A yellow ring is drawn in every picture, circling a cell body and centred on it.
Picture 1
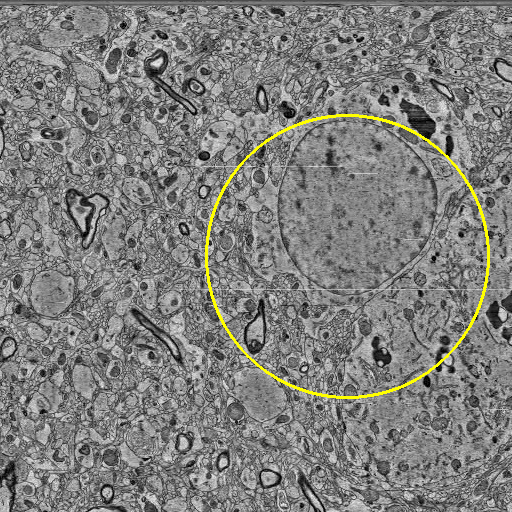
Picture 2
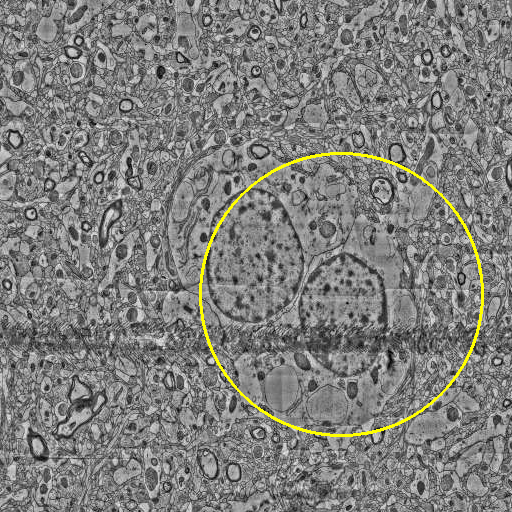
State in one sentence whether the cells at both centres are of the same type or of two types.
The cells at the two ring centres, one per picture, are of the same type.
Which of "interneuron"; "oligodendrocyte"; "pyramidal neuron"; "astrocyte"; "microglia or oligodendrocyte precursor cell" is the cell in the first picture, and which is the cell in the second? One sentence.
Each of the two pictures has an astrocyte at the ring centre.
